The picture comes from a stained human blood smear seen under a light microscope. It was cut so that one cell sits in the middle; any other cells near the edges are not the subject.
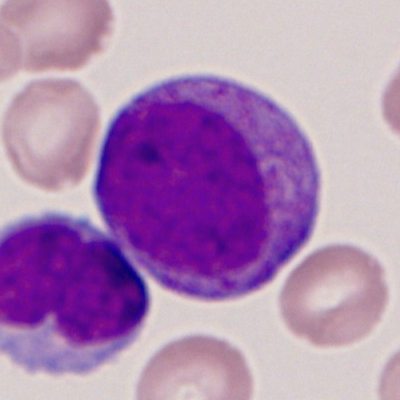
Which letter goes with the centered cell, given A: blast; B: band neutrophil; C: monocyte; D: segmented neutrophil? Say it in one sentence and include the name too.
In the centre of the crop there is a blast, making option A correct.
